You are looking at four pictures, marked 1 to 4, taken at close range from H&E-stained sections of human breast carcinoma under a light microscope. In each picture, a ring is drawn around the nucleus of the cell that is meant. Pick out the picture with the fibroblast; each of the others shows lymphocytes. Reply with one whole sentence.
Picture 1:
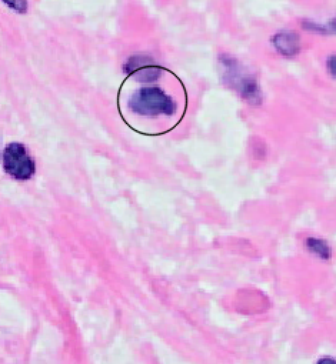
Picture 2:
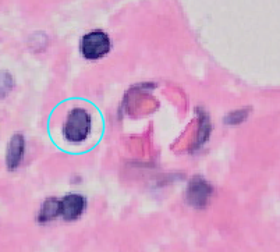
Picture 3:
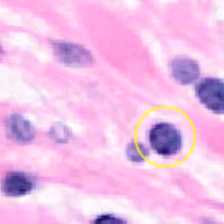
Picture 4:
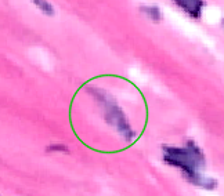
Picture 4 is the one that shows the fibroblast.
